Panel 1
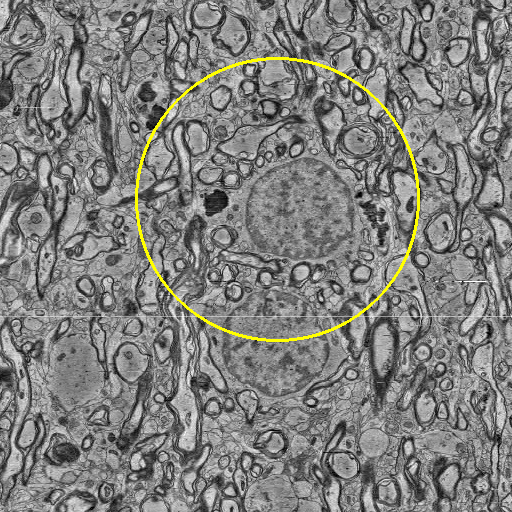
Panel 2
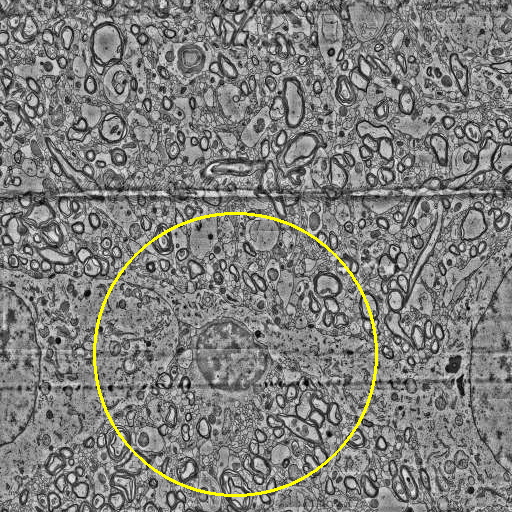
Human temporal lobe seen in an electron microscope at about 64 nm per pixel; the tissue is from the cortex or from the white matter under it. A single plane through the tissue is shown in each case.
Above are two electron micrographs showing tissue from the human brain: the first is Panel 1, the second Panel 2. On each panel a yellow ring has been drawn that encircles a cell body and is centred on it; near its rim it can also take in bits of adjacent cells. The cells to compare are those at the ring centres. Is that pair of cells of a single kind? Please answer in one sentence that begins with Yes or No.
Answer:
Yes, the ring-centred cells of Panel 1 and Panel 2 belong to one kind.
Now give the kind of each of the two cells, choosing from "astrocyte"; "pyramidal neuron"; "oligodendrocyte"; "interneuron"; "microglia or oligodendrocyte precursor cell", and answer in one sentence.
Both pictures show an oligodendrocyte at the centre of the ring.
